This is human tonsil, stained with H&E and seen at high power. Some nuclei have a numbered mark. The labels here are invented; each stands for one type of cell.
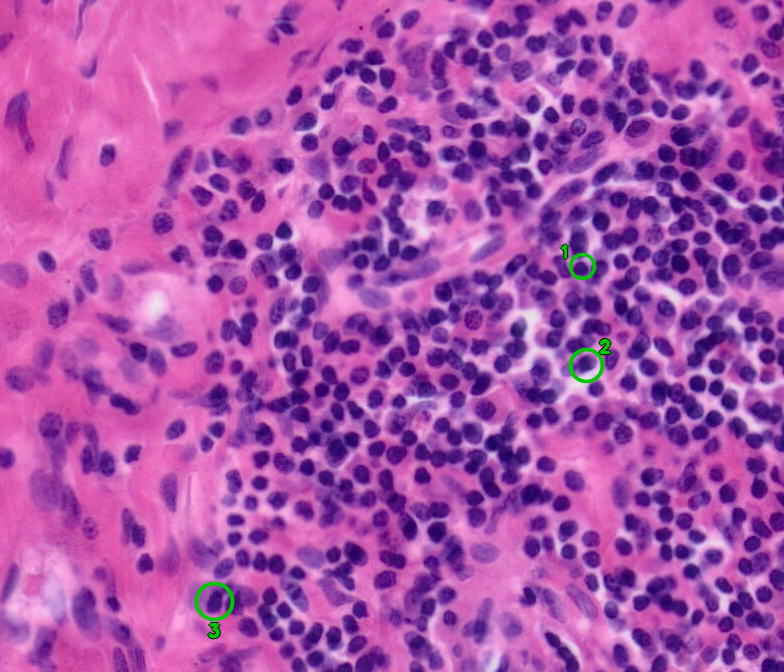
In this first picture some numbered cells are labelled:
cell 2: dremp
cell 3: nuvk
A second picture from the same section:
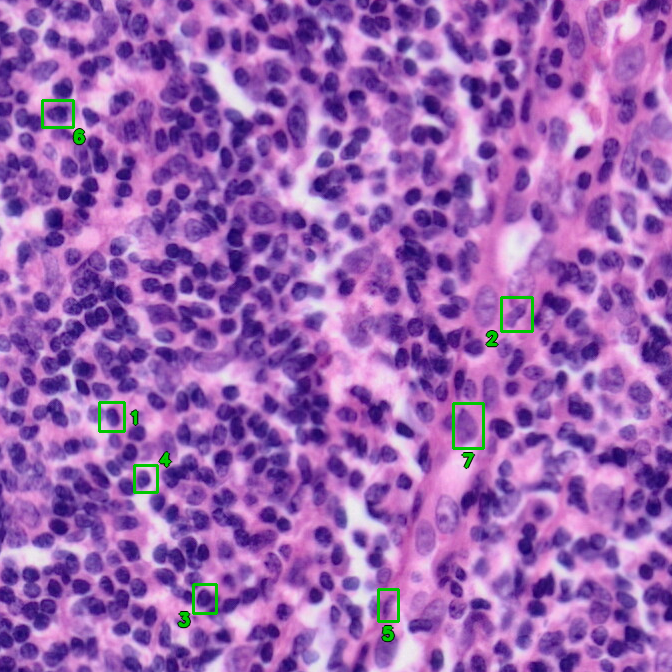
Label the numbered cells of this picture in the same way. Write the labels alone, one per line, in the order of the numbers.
dremp
nuvk
dremp
dremp
nuvk
dremp
nuvk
